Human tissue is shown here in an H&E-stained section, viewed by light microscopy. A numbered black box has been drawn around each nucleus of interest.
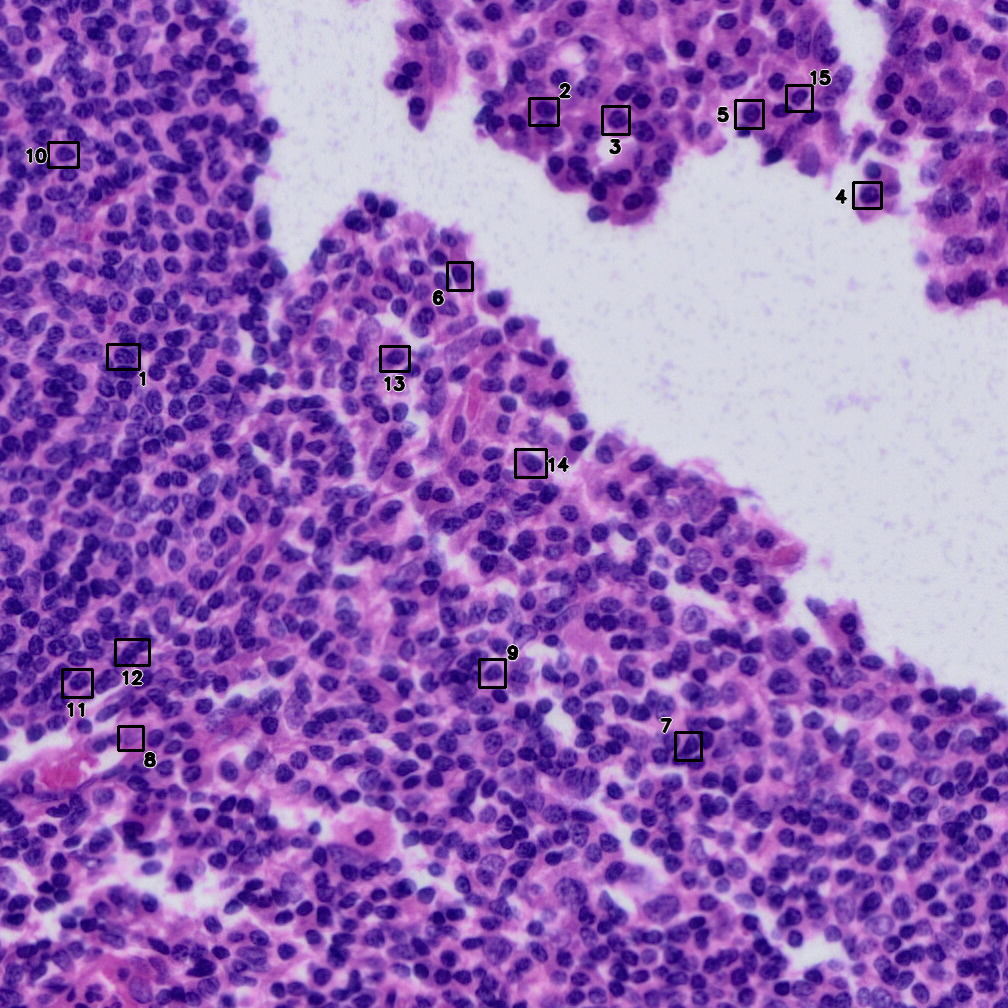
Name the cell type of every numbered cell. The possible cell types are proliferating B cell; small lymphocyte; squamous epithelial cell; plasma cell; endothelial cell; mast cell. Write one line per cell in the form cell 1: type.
cell 1: small lymphocyte
cell 2: plasma cell
cell 3: plasma cell
cell 4: plasma cell
cell 5: plasma cell
cell 6: plasma cell
cell 7: small lymphocyte
cell 8: endothelial cell
cell 9: small lymphocyte
cell 10: small lymphocyte
cell 11: small lymphocyte
cell 12: small lymphocyte
cell 13: plasma cell
cell 14: plasma cell
cell 15: plasma cell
